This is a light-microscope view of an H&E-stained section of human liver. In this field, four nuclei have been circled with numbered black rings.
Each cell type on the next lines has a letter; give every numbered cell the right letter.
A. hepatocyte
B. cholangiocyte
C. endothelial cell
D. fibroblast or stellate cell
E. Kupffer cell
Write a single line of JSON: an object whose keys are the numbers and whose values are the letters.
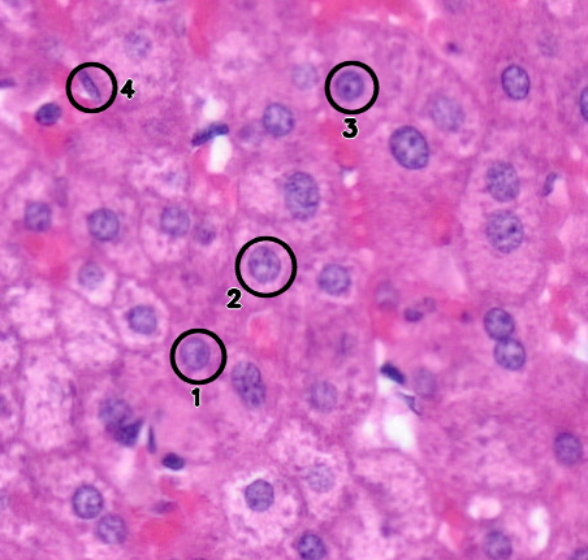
{"1": "A", "2": "A", "3": "A", "4": "C"}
